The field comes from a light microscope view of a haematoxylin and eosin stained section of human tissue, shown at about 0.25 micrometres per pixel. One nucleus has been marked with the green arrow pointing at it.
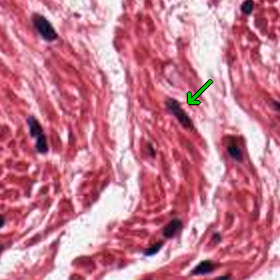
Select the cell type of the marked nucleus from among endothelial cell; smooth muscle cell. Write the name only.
smooth muscle cell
